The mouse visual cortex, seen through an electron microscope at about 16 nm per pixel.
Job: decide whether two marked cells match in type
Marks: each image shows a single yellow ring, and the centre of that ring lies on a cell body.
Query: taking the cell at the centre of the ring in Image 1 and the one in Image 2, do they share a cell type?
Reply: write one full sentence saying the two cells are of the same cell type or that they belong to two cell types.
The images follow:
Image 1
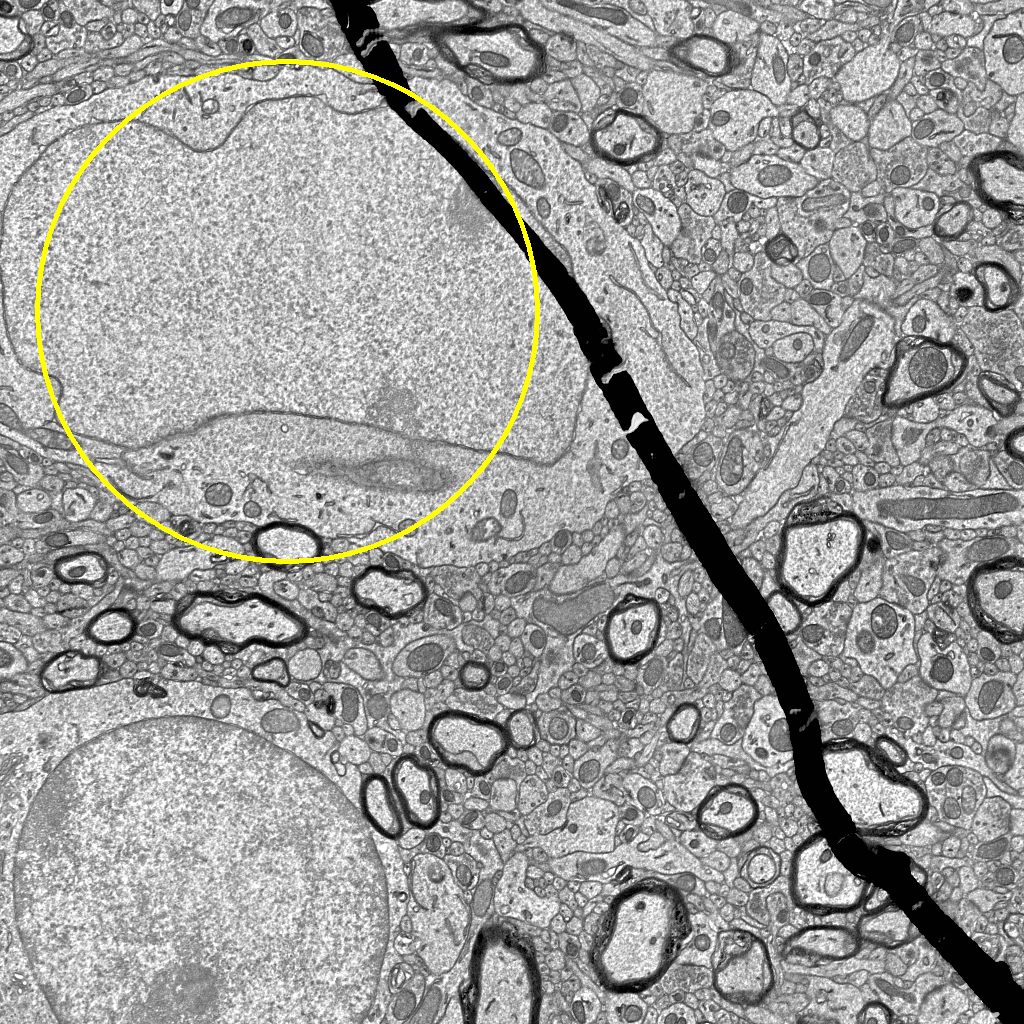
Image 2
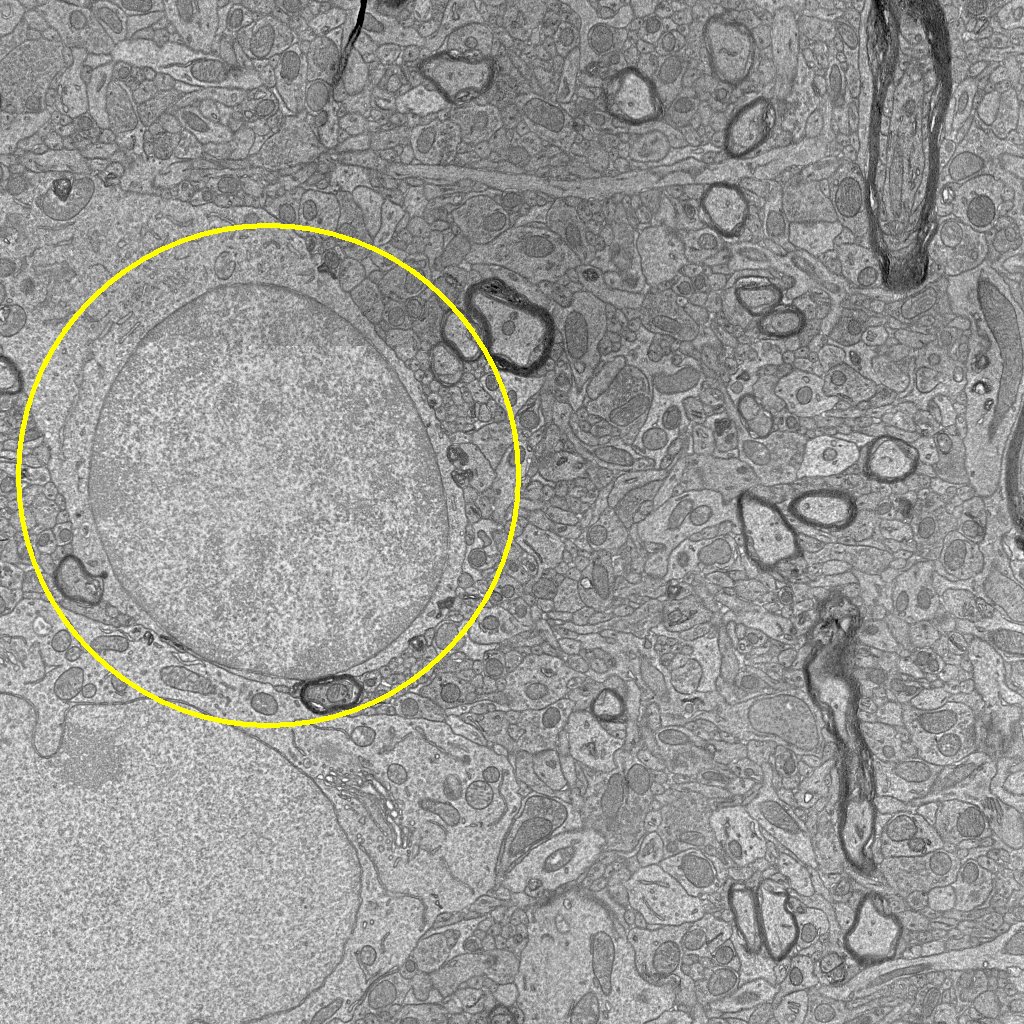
The cells at the ring centres in Image 1 and Image 2 belong to two cell types.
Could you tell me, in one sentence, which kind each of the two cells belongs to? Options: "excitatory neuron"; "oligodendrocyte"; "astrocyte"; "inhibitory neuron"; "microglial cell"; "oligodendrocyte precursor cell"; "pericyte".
The first ring marks an excitatory neuron, and the second ring marks an oligodendrocyte.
